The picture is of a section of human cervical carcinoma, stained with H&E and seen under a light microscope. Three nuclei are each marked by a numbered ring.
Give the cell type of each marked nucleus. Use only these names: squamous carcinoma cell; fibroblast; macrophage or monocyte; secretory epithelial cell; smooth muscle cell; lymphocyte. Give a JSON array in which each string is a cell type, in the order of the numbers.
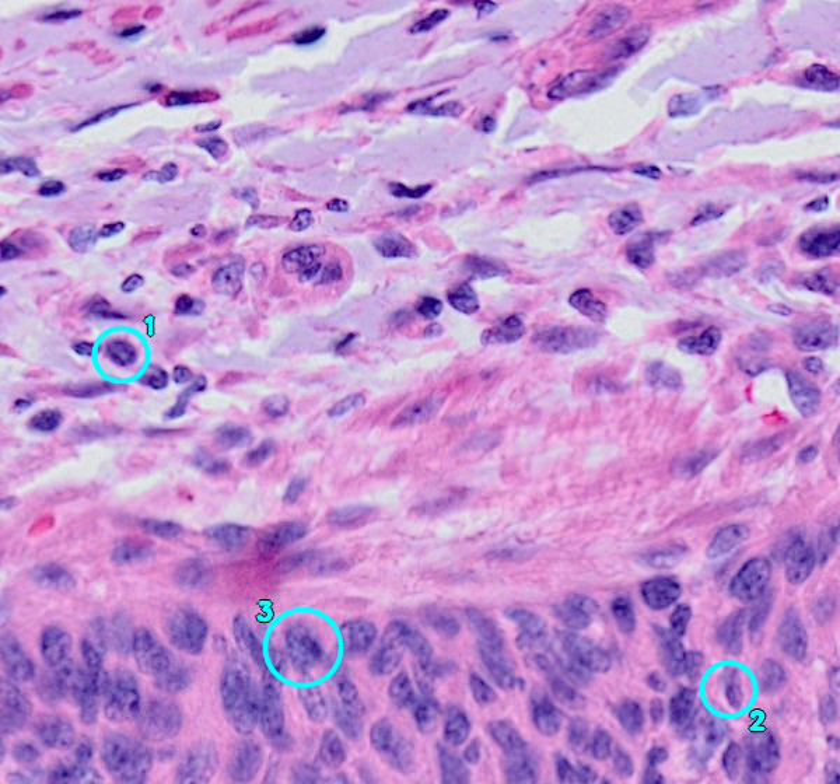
["lymphocyte", "squamous carcinoma cell", "squamous carcinoma cell"]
